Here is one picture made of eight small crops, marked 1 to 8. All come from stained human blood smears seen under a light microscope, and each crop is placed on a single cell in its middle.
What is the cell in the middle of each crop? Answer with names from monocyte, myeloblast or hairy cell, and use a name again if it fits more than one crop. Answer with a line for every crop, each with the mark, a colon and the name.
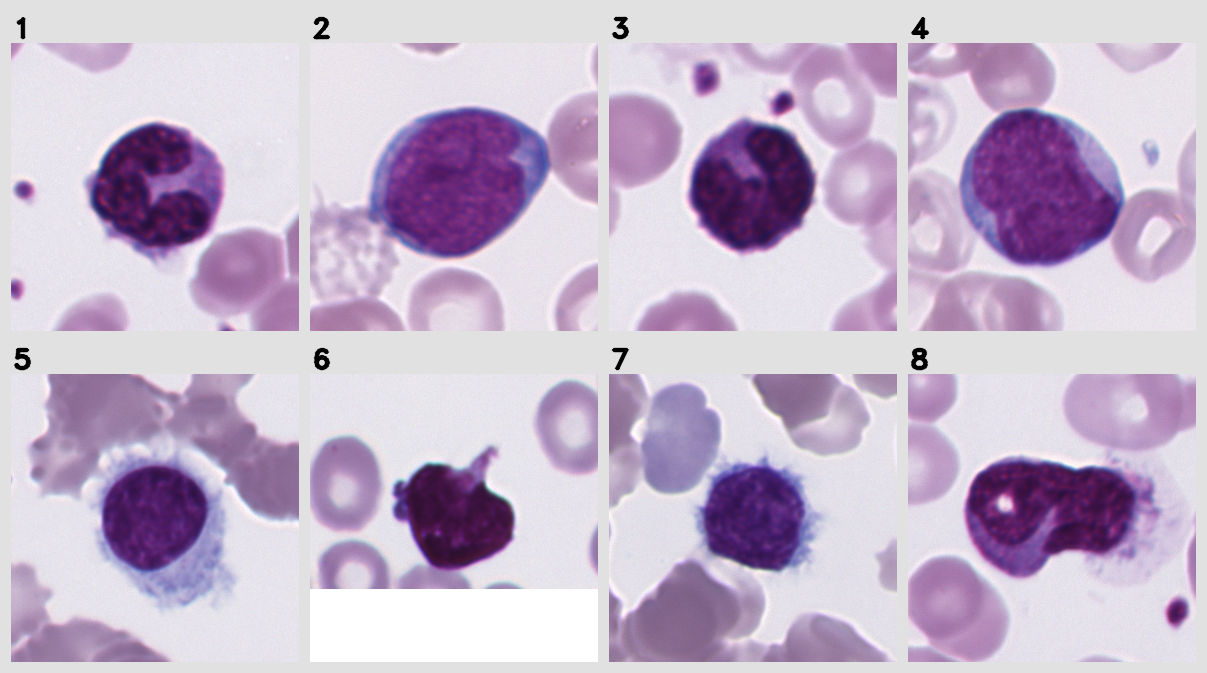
1: monocyte
2: myeloblast
3: monocyte
4: myeloblast
5: hairy cell
6: myeloblast
7: hairy cell
8: monocyte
